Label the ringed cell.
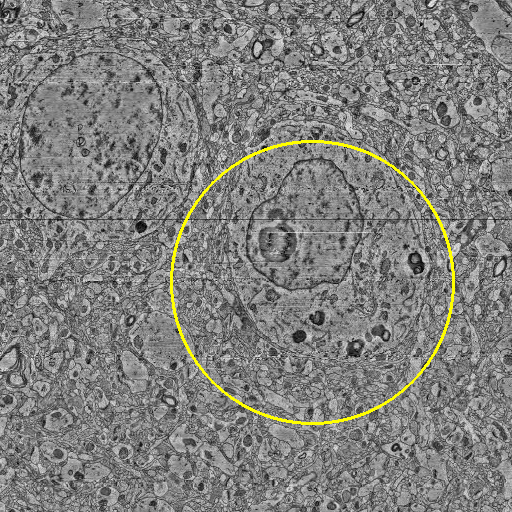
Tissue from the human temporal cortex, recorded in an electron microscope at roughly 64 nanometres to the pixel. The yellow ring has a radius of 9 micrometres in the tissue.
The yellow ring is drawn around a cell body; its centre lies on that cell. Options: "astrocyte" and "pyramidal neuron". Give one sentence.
The ringed cell is a pyramidal neuron.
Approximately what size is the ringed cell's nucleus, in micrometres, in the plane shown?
The ringed cell's nucleus is about 9 micrometres long and 7 micrometres wide in this plane.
